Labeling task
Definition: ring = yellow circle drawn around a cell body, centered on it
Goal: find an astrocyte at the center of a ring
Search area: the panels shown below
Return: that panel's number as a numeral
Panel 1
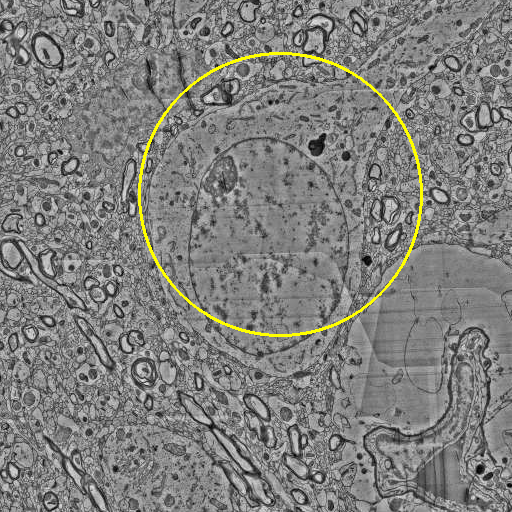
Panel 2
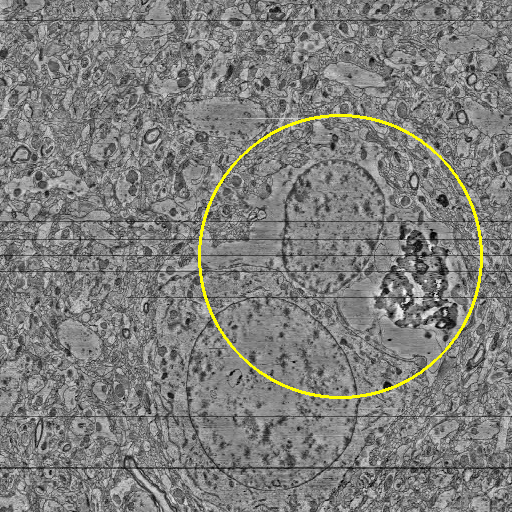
2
